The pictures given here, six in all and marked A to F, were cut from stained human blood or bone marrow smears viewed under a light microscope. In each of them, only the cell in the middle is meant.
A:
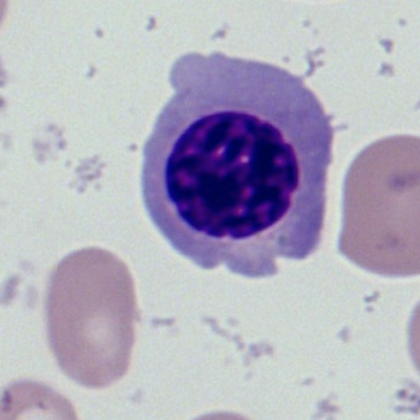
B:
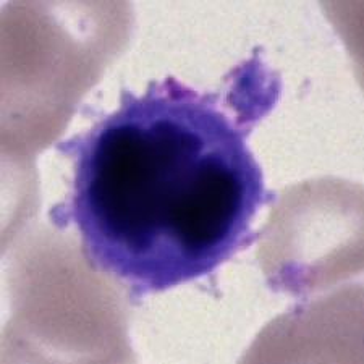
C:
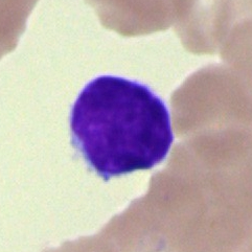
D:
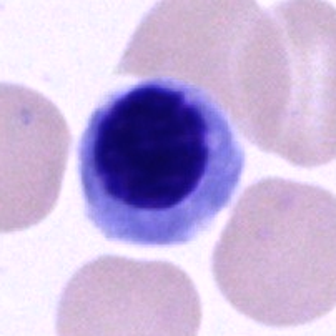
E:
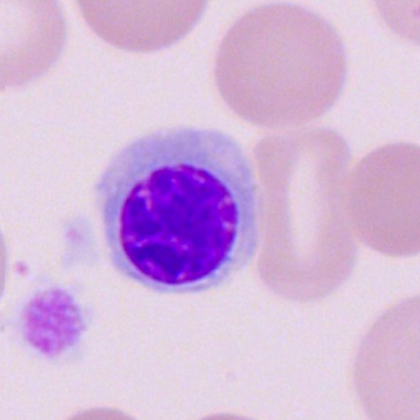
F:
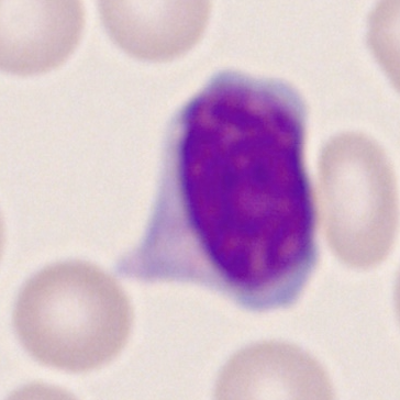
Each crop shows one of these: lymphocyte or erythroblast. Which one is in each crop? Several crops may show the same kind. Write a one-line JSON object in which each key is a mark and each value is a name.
{"A": "erythroblast", "B": "erythroblast", "C": "lymphocyte", "D": "erythroblast", "E": "erythroblast", "F": "lymphocyte"}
